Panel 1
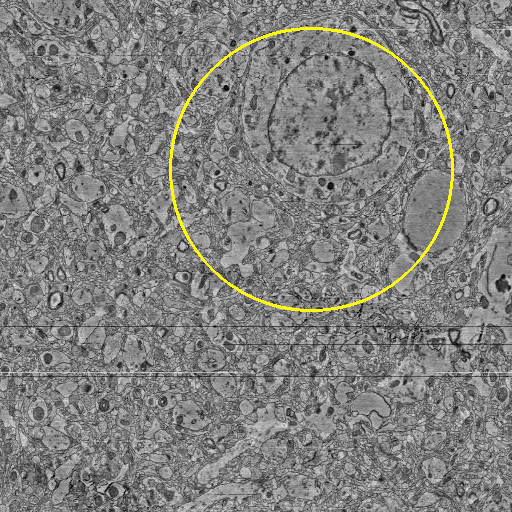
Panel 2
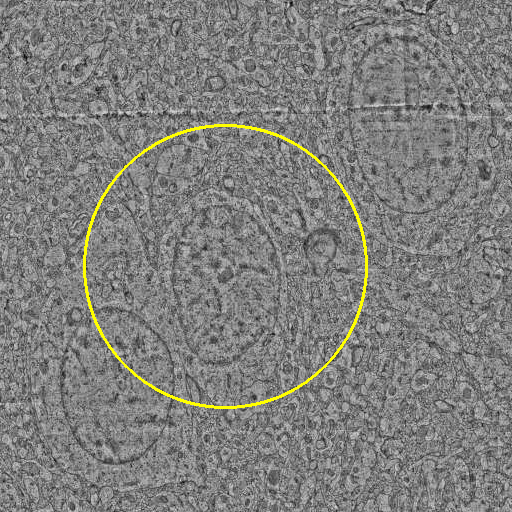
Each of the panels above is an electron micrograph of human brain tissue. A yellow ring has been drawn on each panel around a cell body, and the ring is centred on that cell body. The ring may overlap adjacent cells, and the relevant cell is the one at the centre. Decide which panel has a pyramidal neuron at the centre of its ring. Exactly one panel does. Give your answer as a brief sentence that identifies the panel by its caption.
Panel 1 is the one with it at the centre of the ring.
